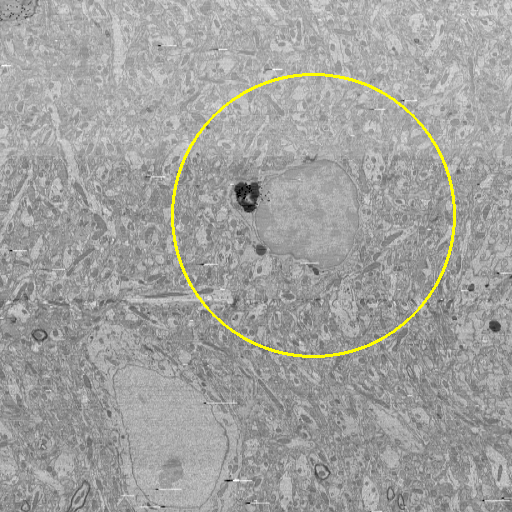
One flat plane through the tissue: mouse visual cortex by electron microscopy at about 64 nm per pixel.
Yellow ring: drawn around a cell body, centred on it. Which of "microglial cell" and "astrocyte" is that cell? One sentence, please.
That cell body is from a microglial cell.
